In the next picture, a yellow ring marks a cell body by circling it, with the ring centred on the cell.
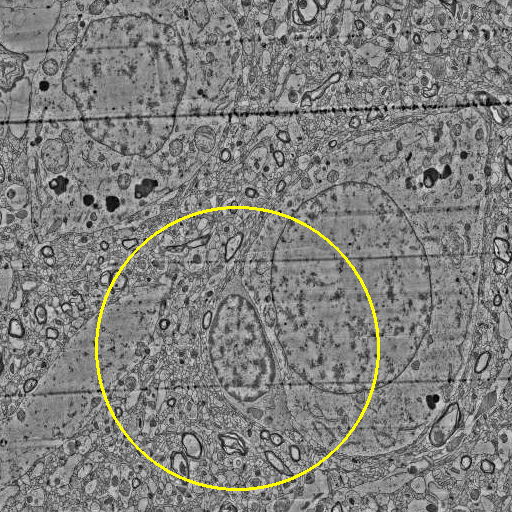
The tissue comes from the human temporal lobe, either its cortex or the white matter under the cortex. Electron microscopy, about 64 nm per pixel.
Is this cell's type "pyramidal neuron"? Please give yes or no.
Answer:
no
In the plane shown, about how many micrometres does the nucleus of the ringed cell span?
The ringed cell's nucleus is roughly 7 by 4 micrometres and clearly longer than it is wide in this plane.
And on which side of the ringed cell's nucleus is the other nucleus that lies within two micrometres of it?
That other nucleus is to the upper right of it.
